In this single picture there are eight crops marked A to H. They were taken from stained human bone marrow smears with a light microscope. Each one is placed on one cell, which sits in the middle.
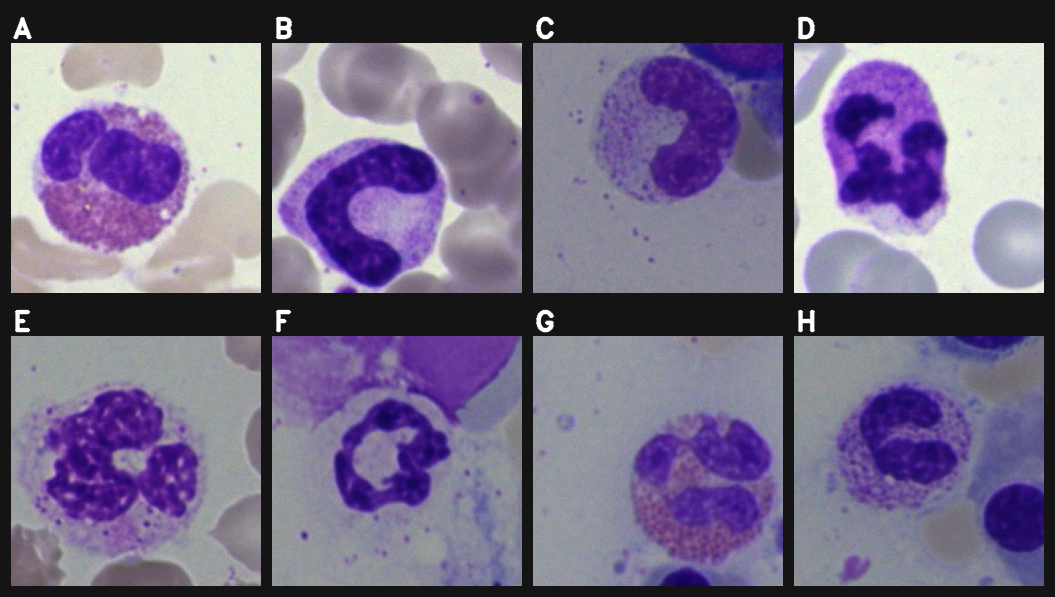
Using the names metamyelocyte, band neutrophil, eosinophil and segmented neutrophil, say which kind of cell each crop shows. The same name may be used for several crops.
A: eosinophil
B: band neutrophil
C: band neutrophil
D: segmented neutrophil
E: segmented neutrophil
F: segmented neutrophil
G: eosinophil
H: segmented neutrophil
